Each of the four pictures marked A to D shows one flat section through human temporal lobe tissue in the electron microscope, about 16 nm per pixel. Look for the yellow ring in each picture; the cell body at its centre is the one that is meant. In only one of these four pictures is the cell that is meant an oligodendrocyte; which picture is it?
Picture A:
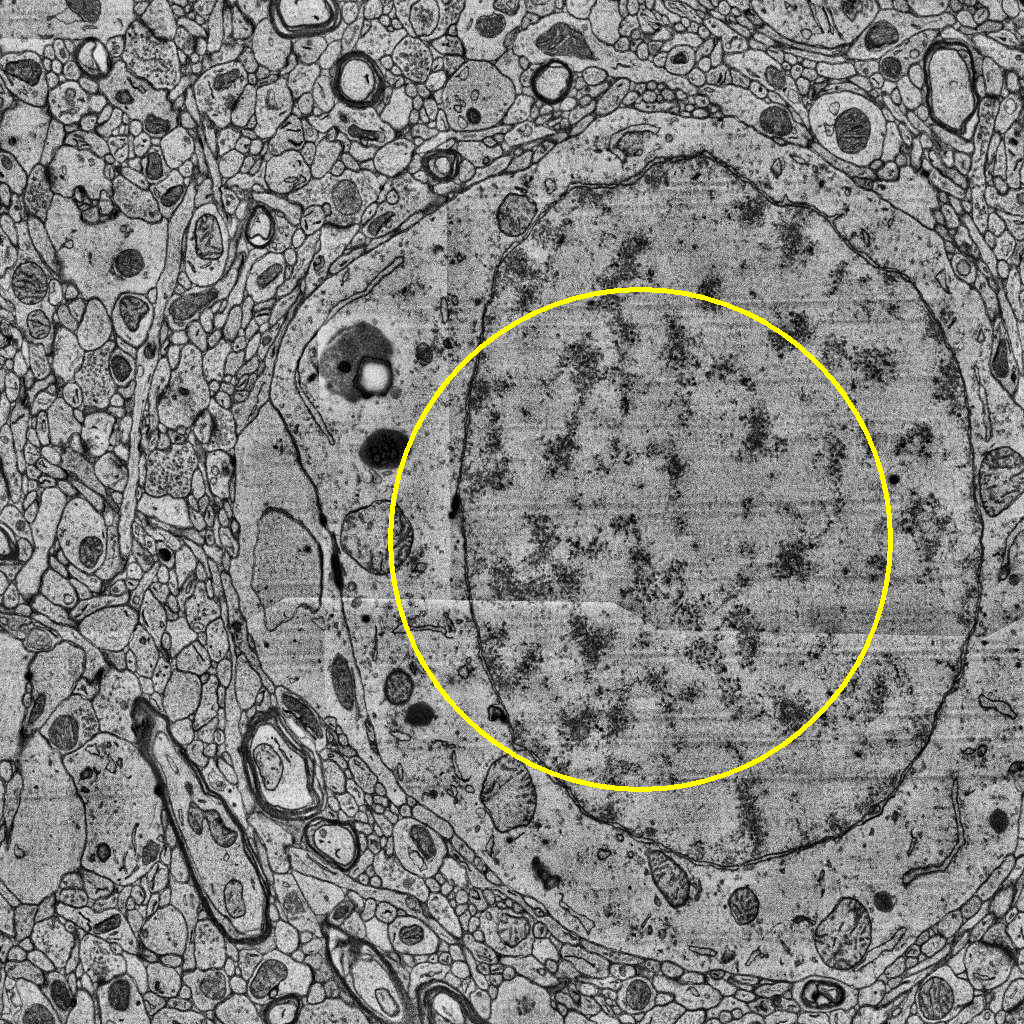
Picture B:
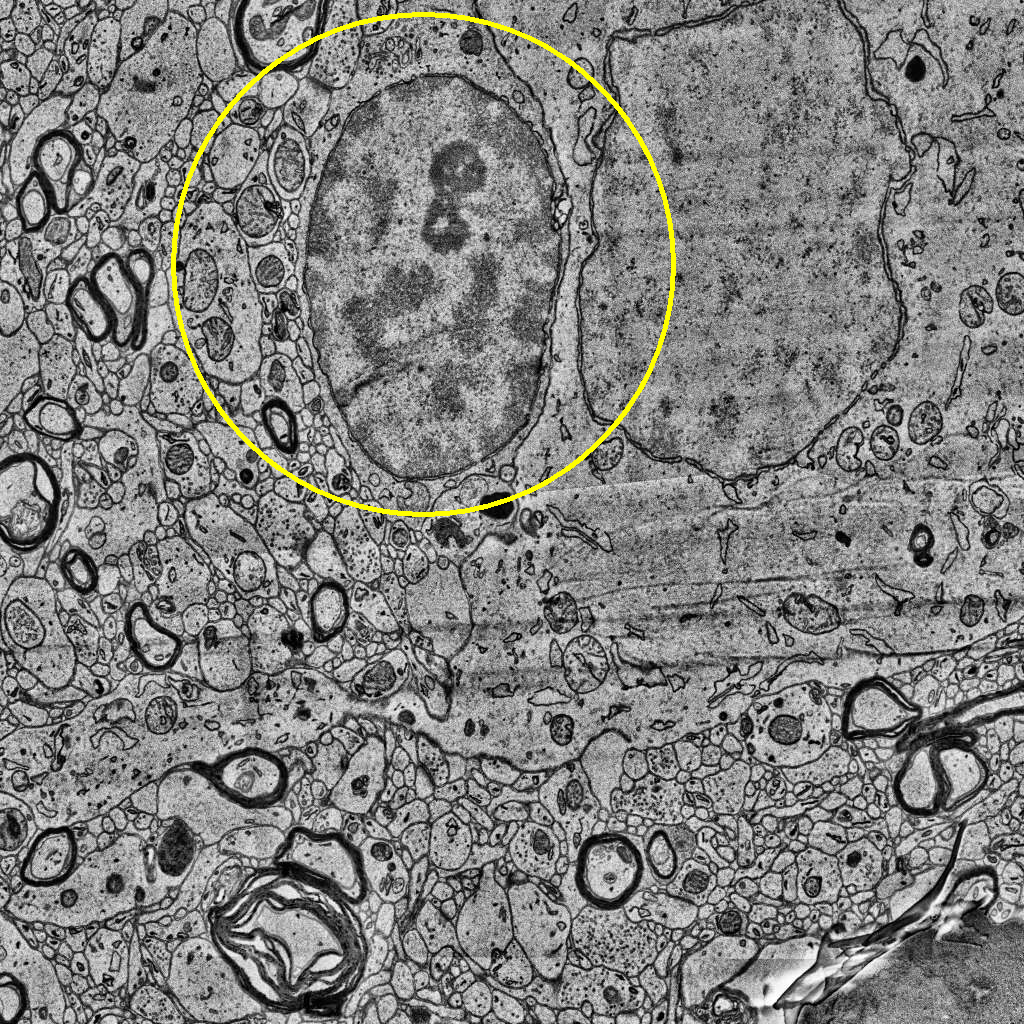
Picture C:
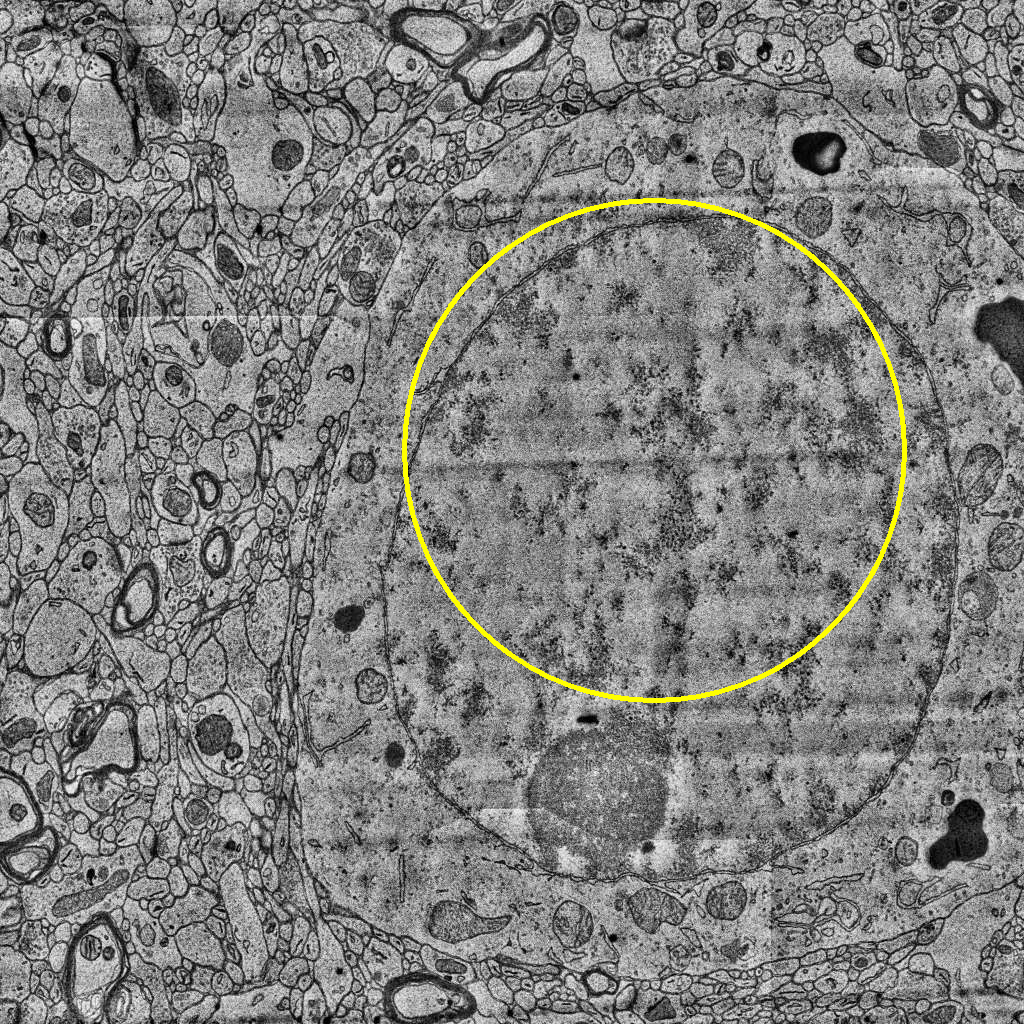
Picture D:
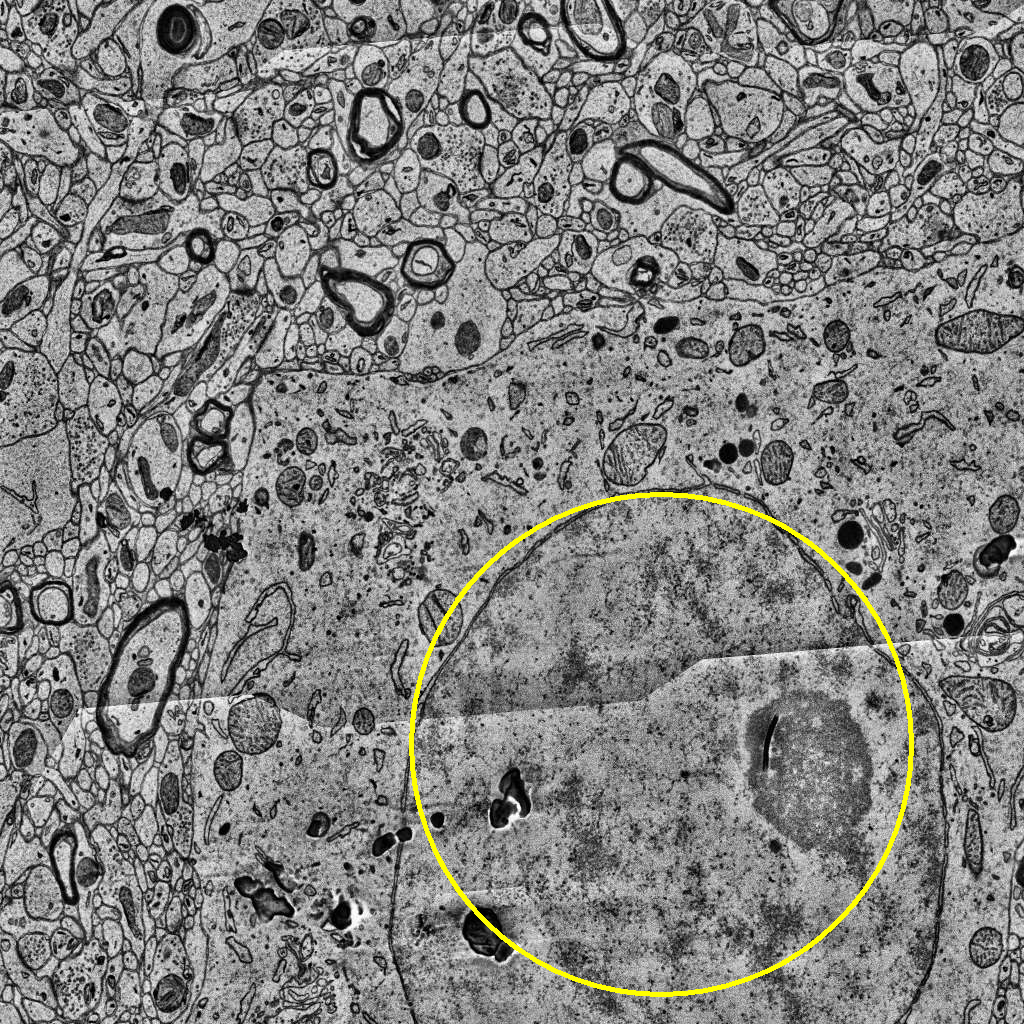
It is picture B that shows the oligodendrocyte.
